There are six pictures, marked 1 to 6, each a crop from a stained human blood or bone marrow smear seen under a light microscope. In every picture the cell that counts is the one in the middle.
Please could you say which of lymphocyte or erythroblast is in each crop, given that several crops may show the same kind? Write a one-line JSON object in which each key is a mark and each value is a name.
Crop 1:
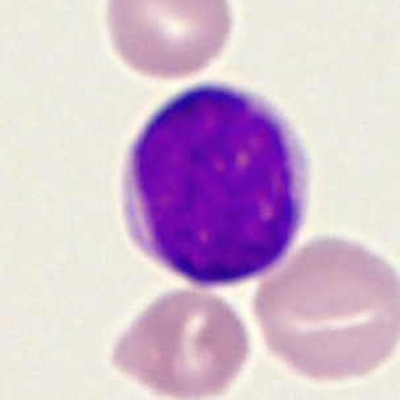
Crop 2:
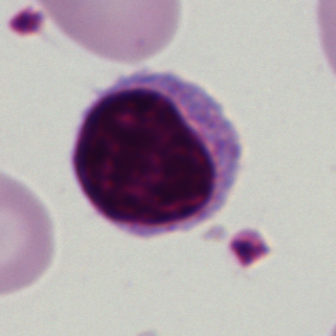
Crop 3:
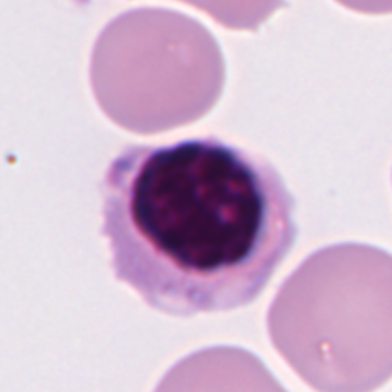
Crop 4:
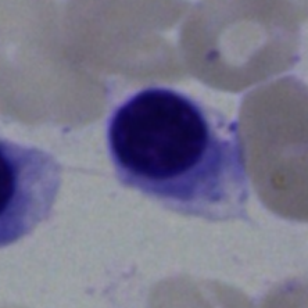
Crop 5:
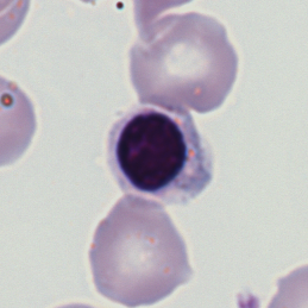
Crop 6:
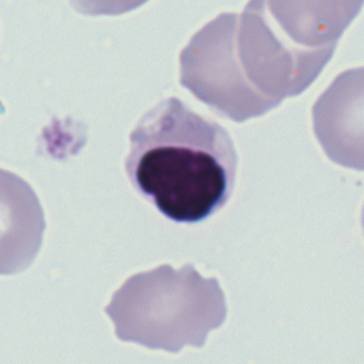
{"1": "lymphocyte", "2": "lymphocyte", "3": "erythroblast", "4": "erythroblast", "5": "erythroblast", "6": "erythroblast"}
